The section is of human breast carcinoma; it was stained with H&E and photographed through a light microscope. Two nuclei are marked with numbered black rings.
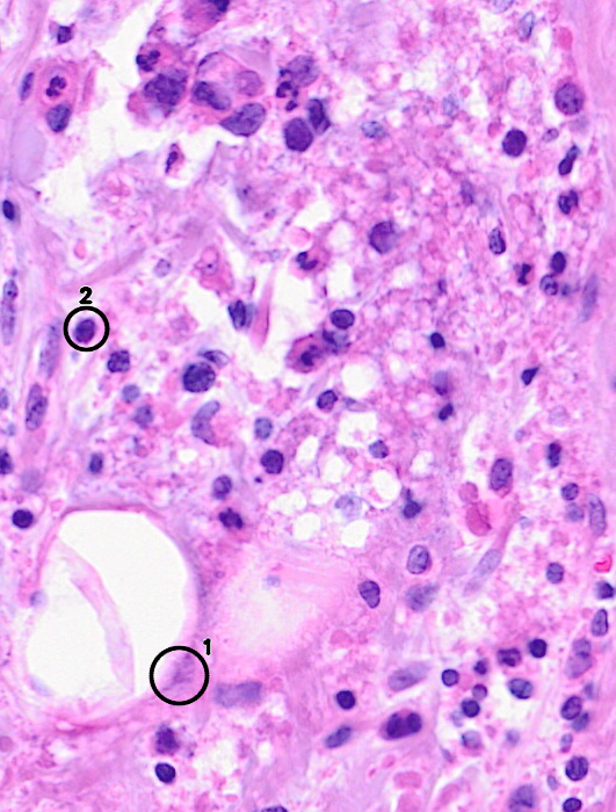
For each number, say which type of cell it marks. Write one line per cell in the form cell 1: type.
cell 1: fibroblast
cell 2: lymphocyte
